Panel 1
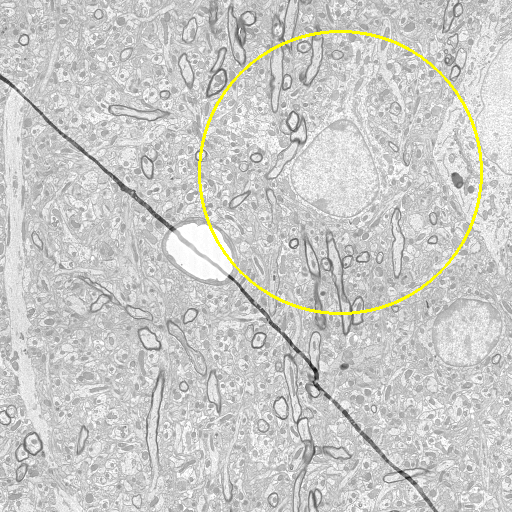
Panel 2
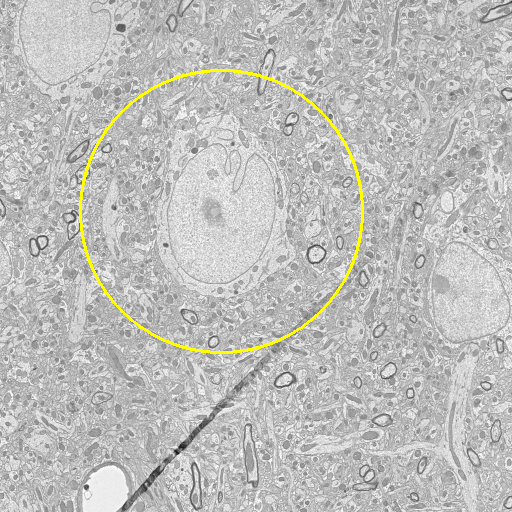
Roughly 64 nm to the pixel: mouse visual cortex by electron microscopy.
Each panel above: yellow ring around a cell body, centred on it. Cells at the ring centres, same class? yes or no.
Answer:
no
